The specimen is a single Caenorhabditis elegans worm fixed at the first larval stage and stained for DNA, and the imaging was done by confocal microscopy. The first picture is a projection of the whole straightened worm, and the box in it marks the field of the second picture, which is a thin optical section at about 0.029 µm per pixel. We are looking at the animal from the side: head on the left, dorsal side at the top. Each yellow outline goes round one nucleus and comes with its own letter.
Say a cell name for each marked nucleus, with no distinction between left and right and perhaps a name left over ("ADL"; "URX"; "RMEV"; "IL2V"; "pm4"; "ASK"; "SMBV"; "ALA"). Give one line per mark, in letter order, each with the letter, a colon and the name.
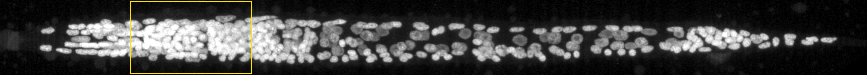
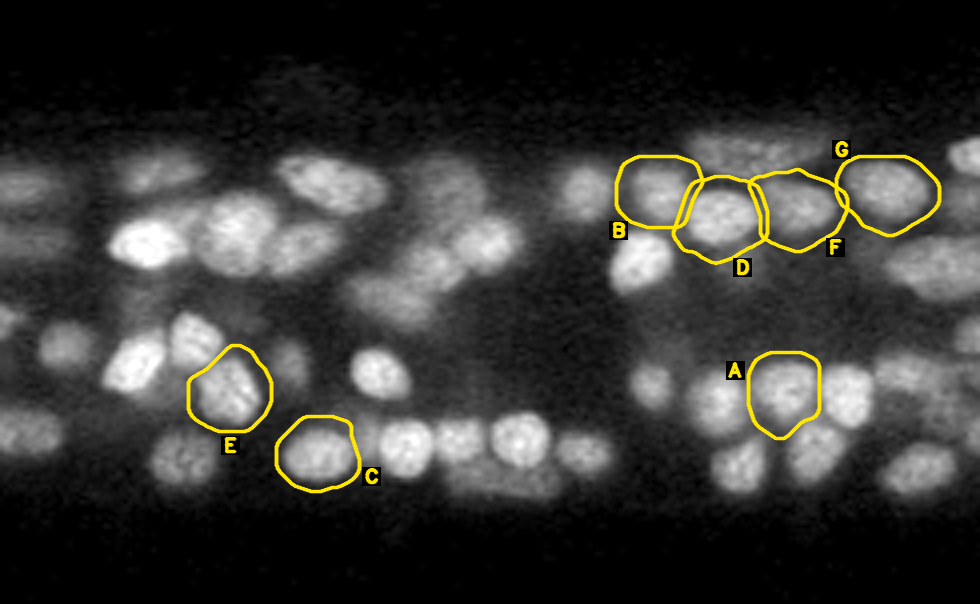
A: SMBV
B: ALA
C: IL2V
D: URX
E: pm4
F: ASK
G: ADL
